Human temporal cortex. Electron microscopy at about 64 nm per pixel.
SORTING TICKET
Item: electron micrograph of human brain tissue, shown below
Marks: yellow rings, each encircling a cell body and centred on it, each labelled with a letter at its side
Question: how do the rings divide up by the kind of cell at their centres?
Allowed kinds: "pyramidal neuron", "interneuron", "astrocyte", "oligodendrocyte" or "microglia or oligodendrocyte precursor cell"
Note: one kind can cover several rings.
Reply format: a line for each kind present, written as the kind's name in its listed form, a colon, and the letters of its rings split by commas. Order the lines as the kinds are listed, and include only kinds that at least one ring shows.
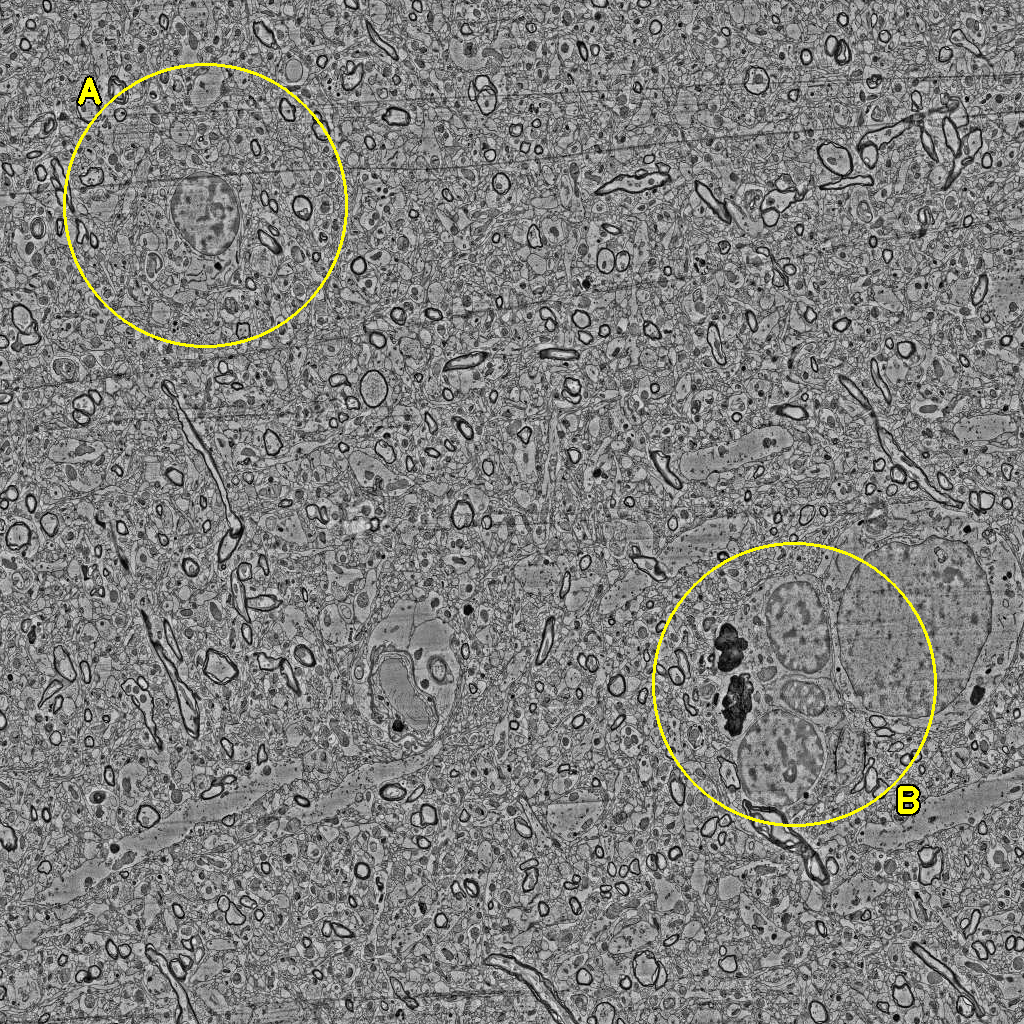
oligodendrocyte: B
microglia or oligodendrocyte precursor cell: A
